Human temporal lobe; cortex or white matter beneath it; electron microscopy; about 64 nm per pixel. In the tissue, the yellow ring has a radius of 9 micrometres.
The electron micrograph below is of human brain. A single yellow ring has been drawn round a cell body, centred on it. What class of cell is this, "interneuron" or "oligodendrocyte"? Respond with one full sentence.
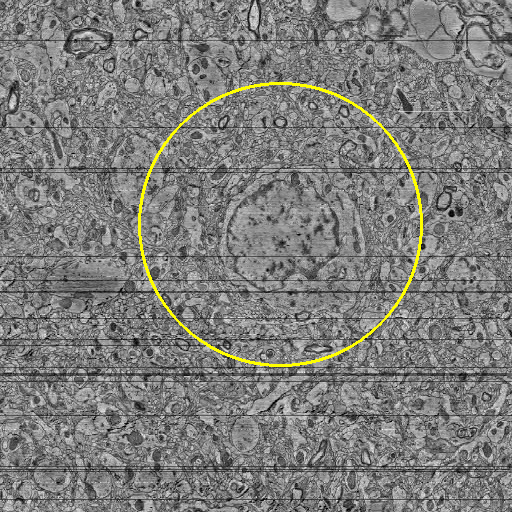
In the micrograph, the cell centred inside the yellow ring is an interneuron.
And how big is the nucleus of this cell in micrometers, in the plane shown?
The nucleus appears about 8 micrometres across in this plane.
